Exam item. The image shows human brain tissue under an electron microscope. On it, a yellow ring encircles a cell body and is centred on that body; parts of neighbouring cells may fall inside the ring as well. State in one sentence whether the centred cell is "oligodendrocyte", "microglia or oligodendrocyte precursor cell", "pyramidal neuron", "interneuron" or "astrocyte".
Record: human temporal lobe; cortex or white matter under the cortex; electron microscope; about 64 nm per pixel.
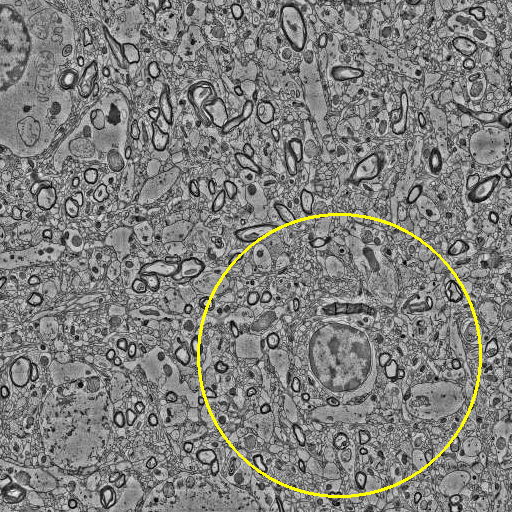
The cell body centred in the ring is a microglial cell or oligodendrocyte precursor cell.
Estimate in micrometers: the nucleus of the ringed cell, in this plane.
About 5 micrometres by about 4 micrometres in this plane.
